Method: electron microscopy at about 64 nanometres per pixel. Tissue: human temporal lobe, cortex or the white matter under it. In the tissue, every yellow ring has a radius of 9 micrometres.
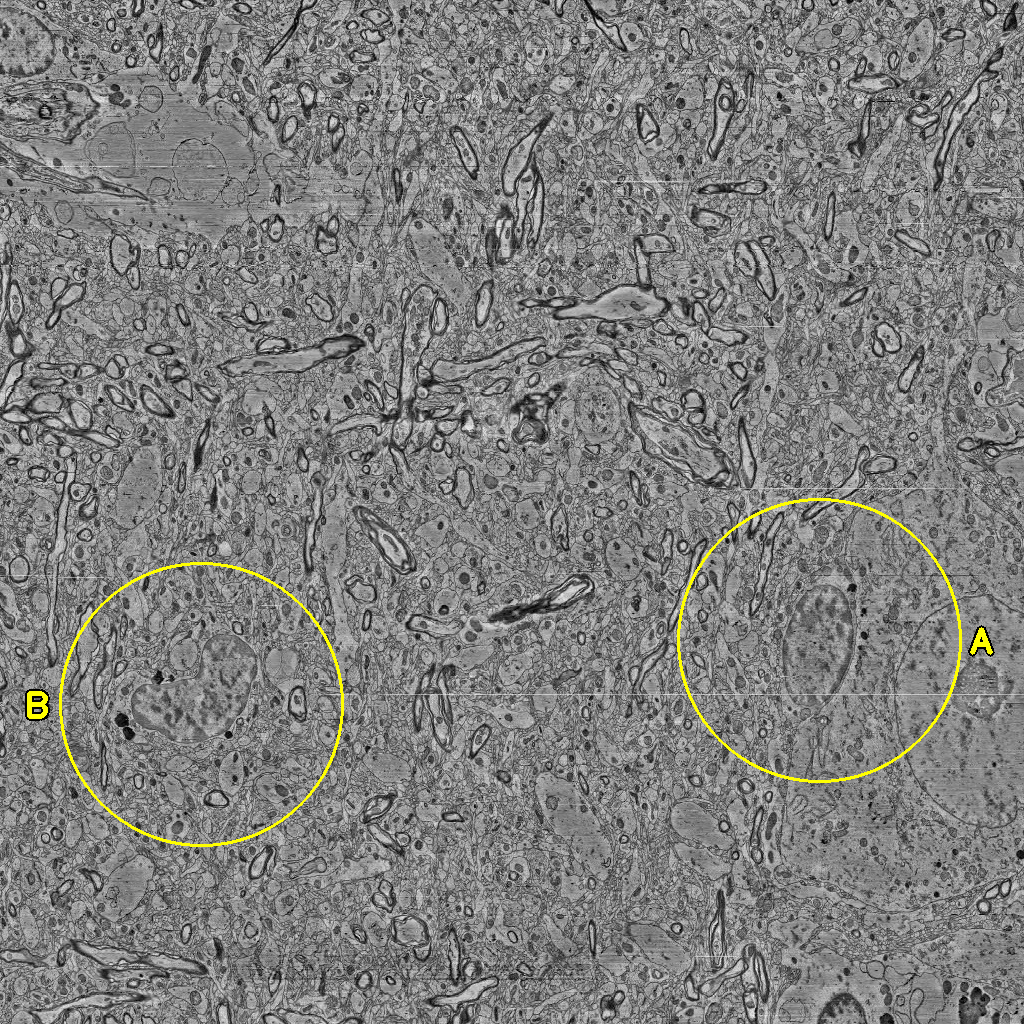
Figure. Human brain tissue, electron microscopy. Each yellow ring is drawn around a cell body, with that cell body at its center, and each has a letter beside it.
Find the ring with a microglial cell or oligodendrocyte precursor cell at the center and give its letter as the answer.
B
